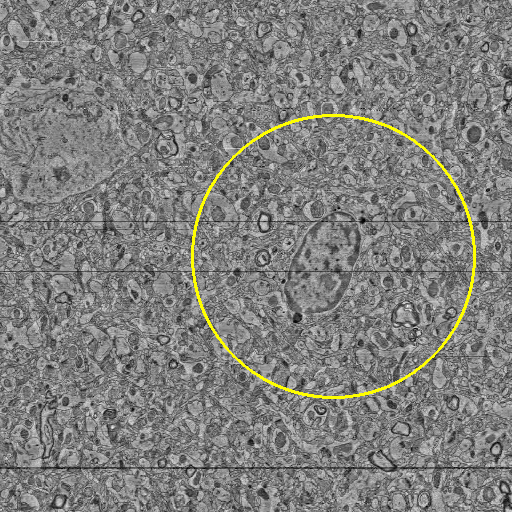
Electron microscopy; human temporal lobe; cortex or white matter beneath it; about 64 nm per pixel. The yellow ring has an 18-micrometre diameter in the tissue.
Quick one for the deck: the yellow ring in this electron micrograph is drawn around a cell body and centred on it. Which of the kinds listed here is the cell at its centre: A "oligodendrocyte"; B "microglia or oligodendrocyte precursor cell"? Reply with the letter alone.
B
